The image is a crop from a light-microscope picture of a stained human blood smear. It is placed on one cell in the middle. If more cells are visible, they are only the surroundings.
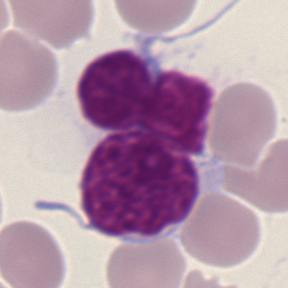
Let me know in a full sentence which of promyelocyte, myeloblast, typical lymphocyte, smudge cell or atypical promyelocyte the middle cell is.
Framed in the middle of the crop is a myeloblast.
